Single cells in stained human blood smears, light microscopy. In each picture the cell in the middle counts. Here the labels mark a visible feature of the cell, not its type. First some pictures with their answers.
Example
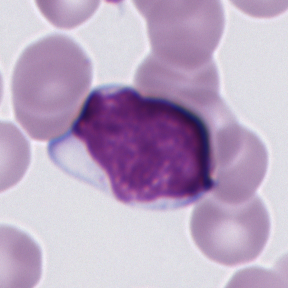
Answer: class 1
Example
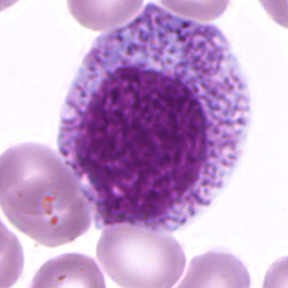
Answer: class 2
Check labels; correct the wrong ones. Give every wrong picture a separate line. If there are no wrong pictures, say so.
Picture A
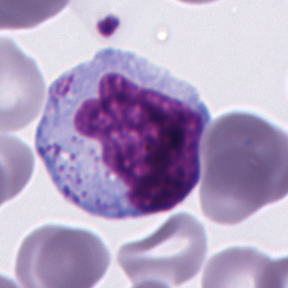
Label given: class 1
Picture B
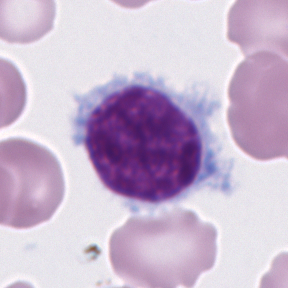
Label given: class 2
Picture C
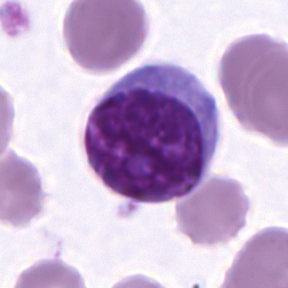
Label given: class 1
A: not class 1 but class 2
B: not class 2 but class 1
